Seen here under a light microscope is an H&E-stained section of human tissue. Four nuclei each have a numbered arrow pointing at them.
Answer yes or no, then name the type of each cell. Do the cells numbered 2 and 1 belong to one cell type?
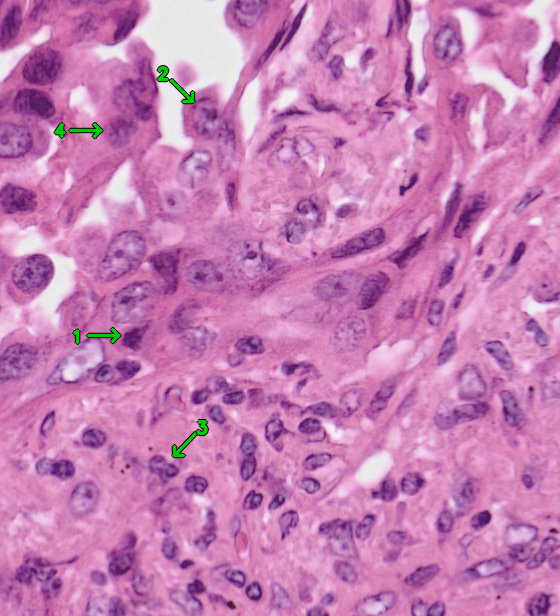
Yes, cells 2 and 1 both qualify as carcinoma cells.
